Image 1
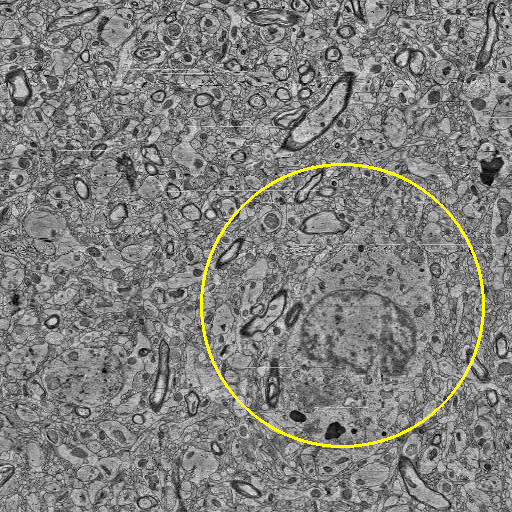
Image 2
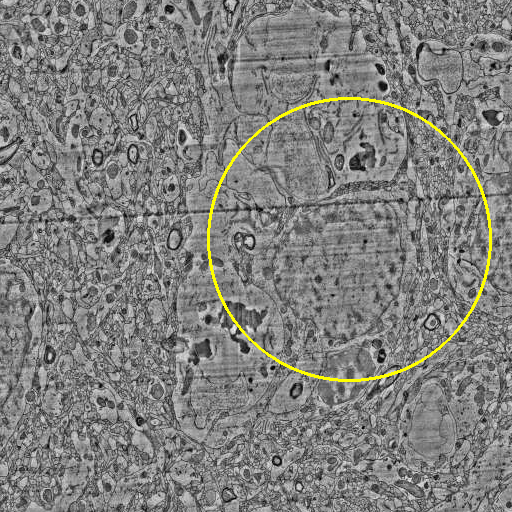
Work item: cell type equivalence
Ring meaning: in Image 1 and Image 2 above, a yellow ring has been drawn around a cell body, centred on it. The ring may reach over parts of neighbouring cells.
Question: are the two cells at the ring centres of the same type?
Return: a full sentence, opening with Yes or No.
Yes, the two centred cells are of the same type.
